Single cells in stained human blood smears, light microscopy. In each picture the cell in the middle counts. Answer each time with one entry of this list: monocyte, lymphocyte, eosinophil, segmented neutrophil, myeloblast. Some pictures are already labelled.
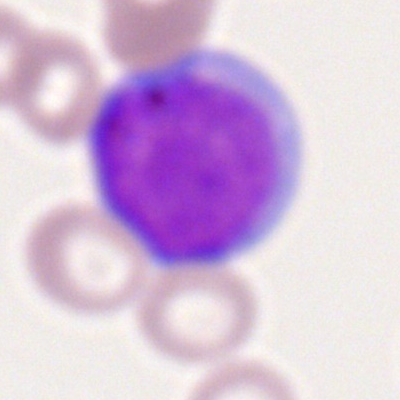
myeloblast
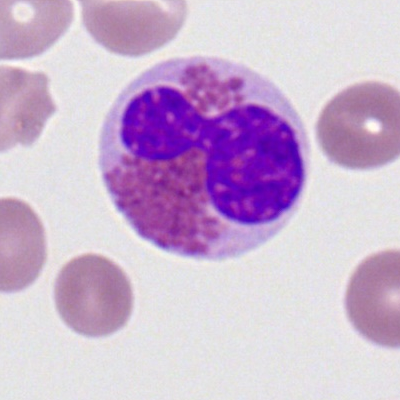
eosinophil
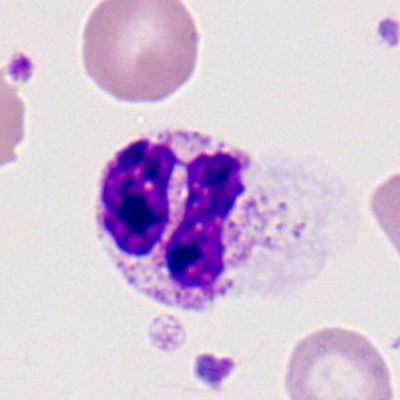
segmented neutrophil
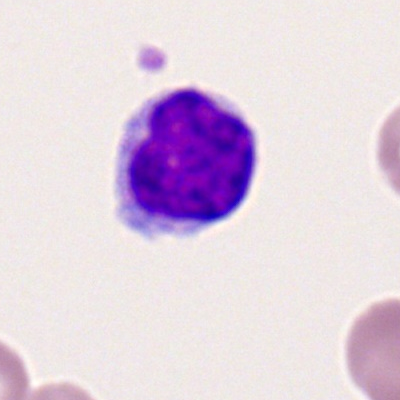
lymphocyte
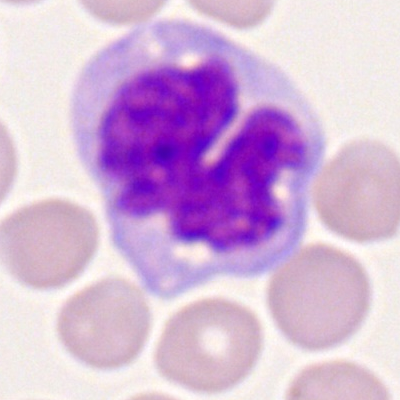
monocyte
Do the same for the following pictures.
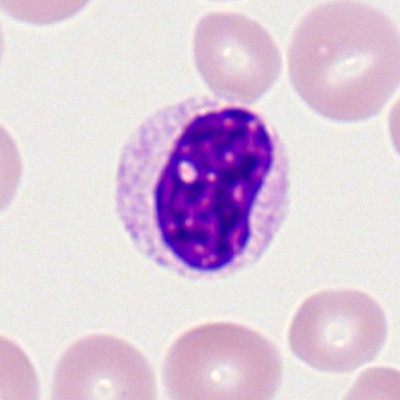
segmented neutrophil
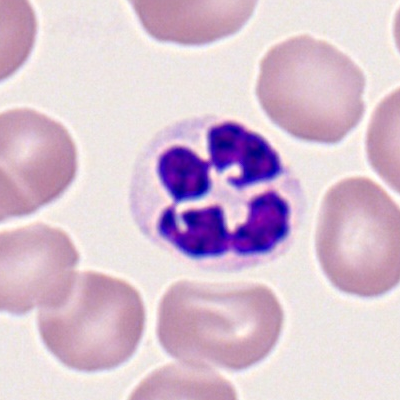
segmented neutrophil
